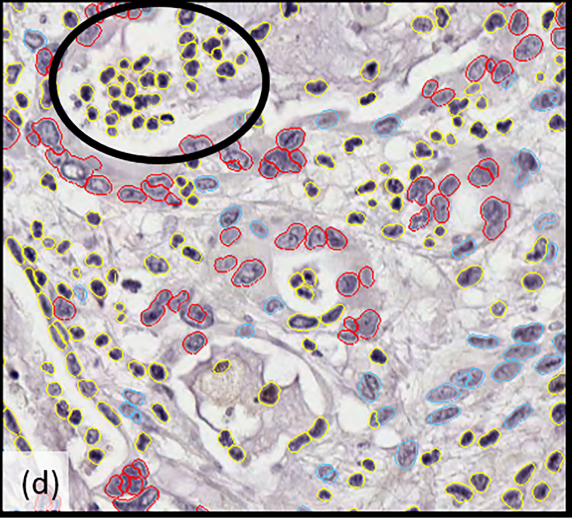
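Tissue with clusters of epithelial cells bearing large oval, pale purple nuclei, separated by loose, pale stroma containing elongated spindle-shaped stromal nuclei. Small, round, densely dark nuclei are scattered throughout and gathered in a crowded group at the upper left.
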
